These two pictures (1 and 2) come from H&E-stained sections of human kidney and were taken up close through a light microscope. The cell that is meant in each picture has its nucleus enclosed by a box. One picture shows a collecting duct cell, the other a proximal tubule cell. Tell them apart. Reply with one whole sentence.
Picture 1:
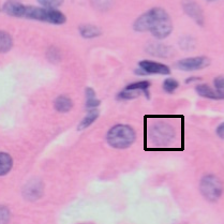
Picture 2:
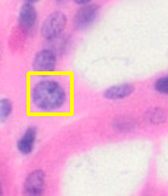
It is picture 1 that shows a proximal tubule cell, and picture 2 that shows a collecting duct cell.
